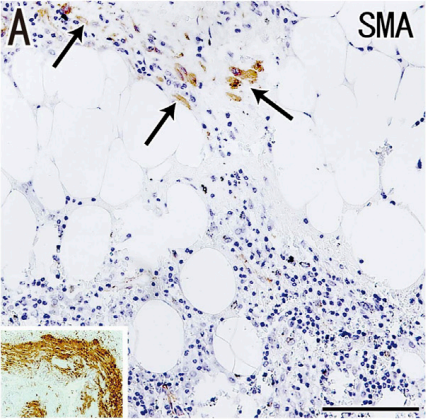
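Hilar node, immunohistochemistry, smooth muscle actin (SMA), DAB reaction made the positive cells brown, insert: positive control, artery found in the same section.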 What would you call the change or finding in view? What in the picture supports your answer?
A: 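Large empty round spaces of fat cells fill much of the field. A band of densely packed small cells runs between the fat cells.
Answer: fatty degeneration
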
